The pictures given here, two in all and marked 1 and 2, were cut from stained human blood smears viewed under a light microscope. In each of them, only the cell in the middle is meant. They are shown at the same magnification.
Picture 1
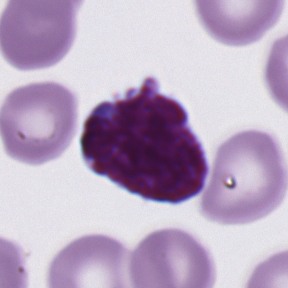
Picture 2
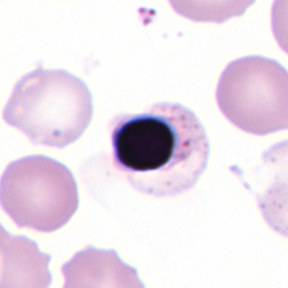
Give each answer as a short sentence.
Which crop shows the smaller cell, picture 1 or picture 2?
Picture 2 holds the smaller cell, since the cell in picture 1 covers about 3 times as much area.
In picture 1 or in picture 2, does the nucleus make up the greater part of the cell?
It is the cell in picture 1 that is filled more by its nucleus.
